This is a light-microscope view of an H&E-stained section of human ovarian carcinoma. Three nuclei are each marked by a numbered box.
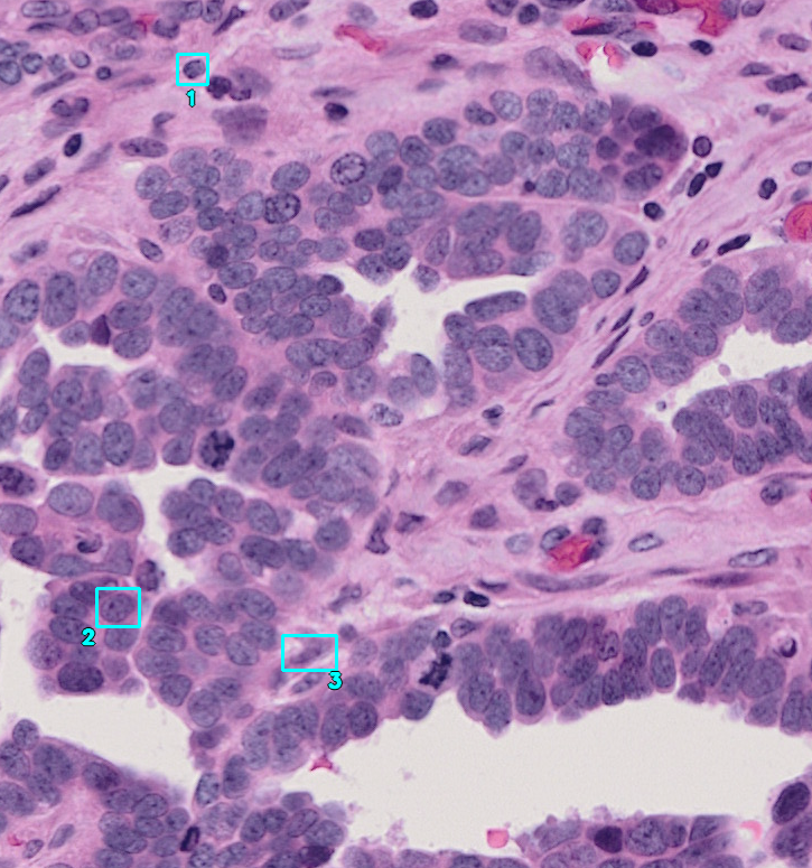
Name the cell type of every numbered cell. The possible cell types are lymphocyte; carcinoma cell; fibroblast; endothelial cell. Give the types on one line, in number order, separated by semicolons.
lymphocyte; carcinoma cell; fibroblast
